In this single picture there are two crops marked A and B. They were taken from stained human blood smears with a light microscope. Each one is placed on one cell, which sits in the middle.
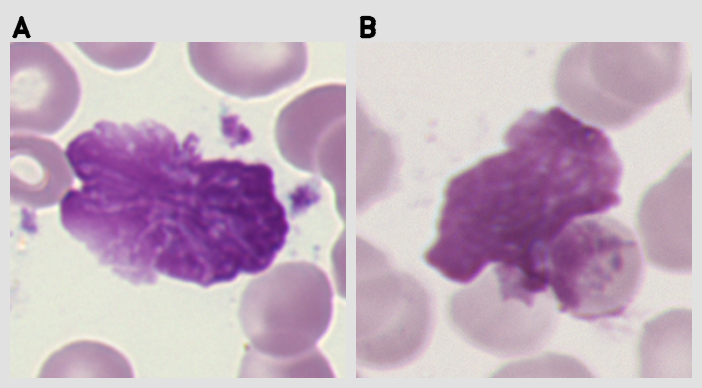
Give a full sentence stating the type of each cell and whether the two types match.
Yes, the two crops share the same answer, smudge cells.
